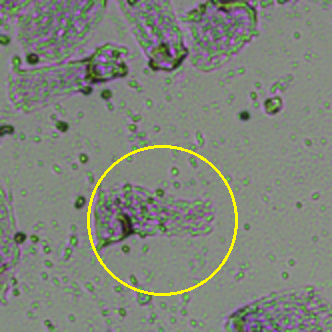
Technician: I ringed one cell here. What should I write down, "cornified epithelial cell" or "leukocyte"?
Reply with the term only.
cornified epithelial cell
